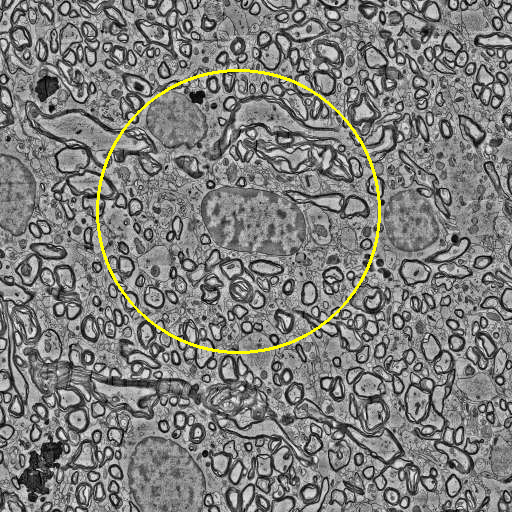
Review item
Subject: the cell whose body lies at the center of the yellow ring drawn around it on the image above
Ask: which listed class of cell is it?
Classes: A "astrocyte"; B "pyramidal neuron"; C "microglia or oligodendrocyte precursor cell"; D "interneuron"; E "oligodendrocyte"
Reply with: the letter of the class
C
